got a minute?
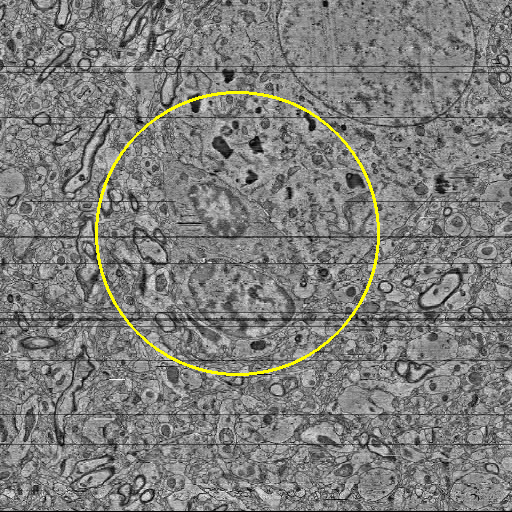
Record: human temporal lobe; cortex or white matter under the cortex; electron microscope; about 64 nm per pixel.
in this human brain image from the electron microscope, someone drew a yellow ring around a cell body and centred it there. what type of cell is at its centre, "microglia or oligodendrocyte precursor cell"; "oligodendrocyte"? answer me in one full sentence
It's an oligodendrocyte at the middle of that yellow ring in the shot.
